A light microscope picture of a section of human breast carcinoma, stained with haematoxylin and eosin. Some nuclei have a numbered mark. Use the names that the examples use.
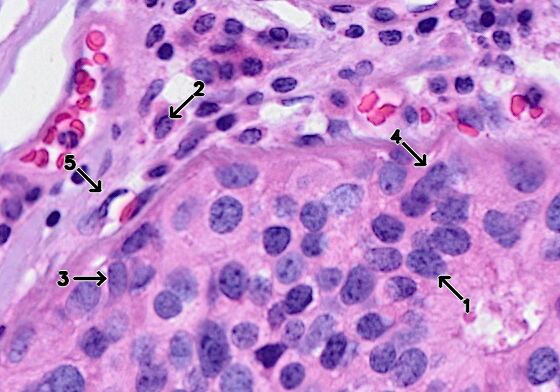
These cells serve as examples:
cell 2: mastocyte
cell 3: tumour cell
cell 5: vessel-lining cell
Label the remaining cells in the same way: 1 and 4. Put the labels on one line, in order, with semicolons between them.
tumour cell; tumour cell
